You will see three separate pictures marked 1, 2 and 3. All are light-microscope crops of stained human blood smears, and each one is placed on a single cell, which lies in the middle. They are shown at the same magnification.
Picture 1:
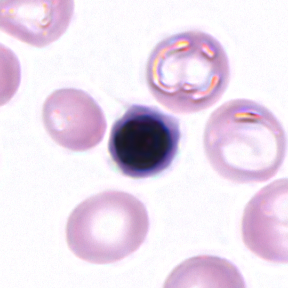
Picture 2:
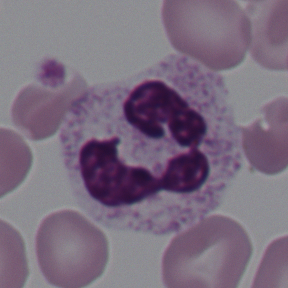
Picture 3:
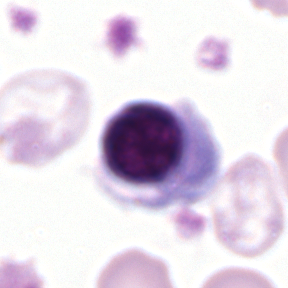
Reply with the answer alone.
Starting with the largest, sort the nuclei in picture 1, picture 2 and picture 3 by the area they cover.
2, 3, 1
